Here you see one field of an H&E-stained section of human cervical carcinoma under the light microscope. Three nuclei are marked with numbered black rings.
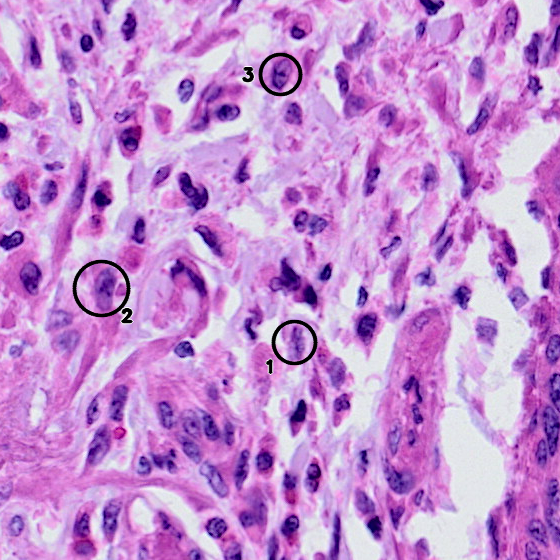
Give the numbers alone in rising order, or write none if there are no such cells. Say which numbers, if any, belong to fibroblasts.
1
